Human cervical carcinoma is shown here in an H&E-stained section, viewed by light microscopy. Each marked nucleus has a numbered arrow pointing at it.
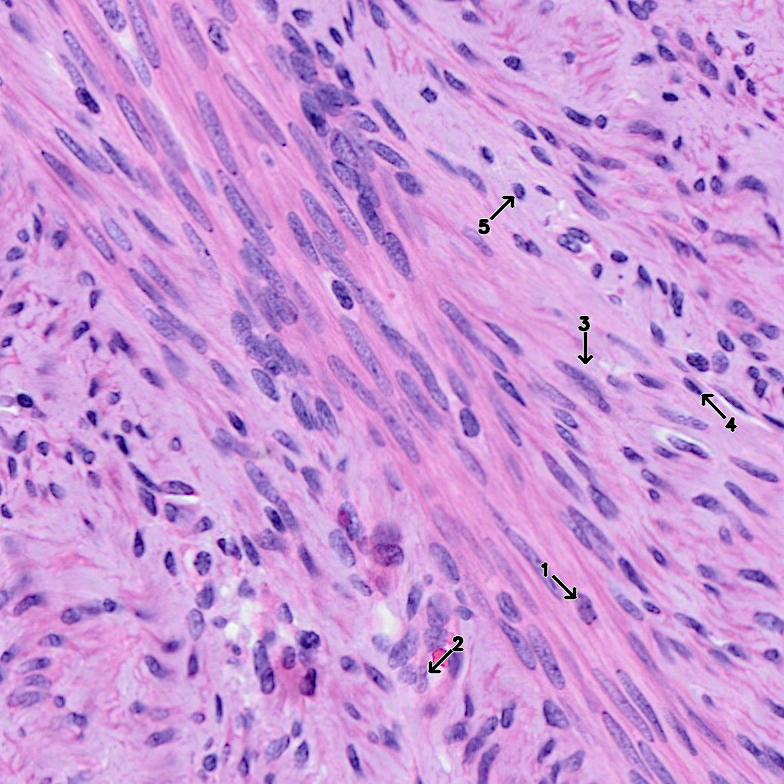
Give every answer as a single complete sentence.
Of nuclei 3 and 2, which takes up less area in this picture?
It is nucleus 2; nucleus 3 has about 2.5 times its area.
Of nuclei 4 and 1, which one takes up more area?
Nucleus 1 is larger, with an area about 2.5 times that of nucleus 4.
